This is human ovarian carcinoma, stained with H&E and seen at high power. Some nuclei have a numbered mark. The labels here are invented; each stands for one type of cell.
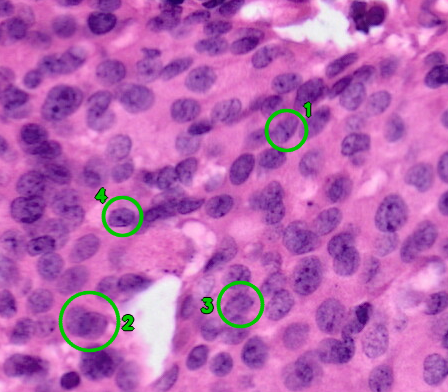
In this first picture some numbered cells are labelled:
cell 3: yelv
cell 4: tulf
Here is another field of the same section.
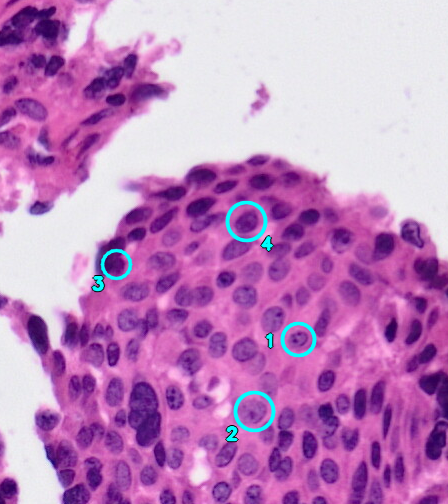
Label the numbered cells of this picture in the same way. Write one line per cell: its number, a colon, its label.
1: tulf
2: yelv
3: yelv
4: yelv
